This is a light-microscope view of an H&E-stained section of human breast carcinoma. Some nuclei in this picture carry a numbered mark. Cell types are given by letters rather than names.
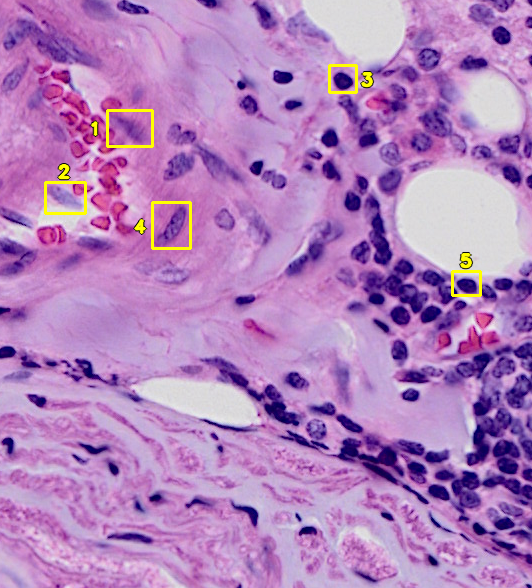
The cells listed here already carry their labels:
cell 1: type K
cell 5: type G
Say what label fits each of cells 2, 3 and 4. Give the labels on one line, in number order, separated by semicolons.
type K; type G; type K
